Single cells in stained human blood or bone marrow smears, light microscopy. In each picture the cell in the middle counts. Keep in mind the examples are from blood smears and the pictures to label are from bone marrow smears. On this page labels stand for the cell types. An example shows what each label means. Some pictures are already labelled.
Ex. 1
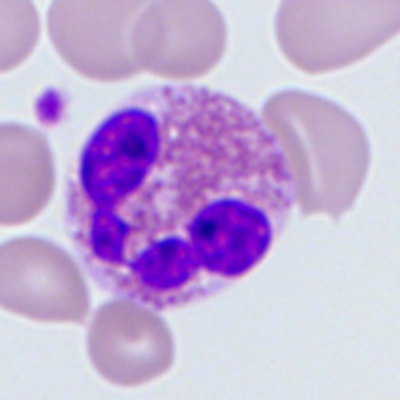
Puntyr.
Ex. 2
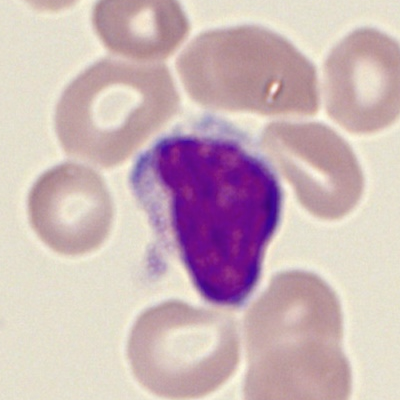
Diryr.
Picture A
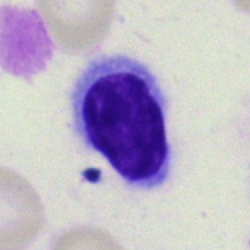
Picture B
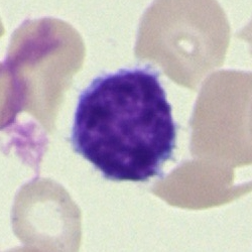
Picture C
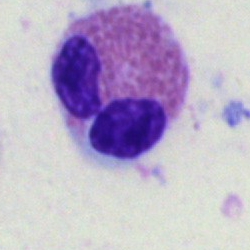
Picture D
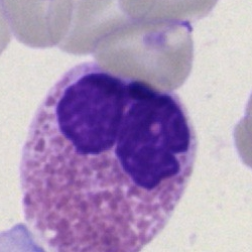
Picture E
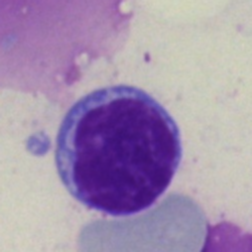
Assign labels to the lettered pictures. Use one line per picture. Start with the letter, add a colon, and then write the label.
A: Diryr.
B: Diryr.
C: Puntyr.
D: Puntyr.
E: Diryr.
